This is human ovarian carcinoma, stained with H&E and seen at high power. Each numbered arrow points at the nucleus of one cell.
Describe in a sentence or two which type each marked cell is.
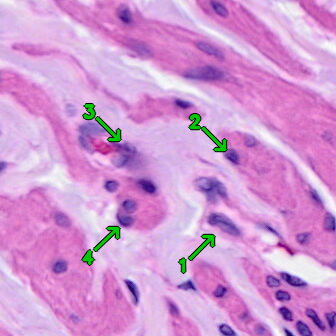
Cell 1 is an endothelial cell, cell 2 is a smooth muscle cell, cell 3 is an endothelial cell and cell 4 is a smooth muscle cell.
